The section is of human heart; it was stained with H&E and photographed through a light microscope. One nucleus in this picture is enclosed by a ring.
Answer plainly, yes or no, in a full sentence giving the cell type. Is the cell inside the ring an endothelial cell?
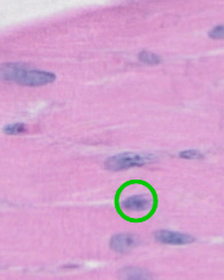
No, instead of an endothelial cell, the cell inside the ring is a fibroblast.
